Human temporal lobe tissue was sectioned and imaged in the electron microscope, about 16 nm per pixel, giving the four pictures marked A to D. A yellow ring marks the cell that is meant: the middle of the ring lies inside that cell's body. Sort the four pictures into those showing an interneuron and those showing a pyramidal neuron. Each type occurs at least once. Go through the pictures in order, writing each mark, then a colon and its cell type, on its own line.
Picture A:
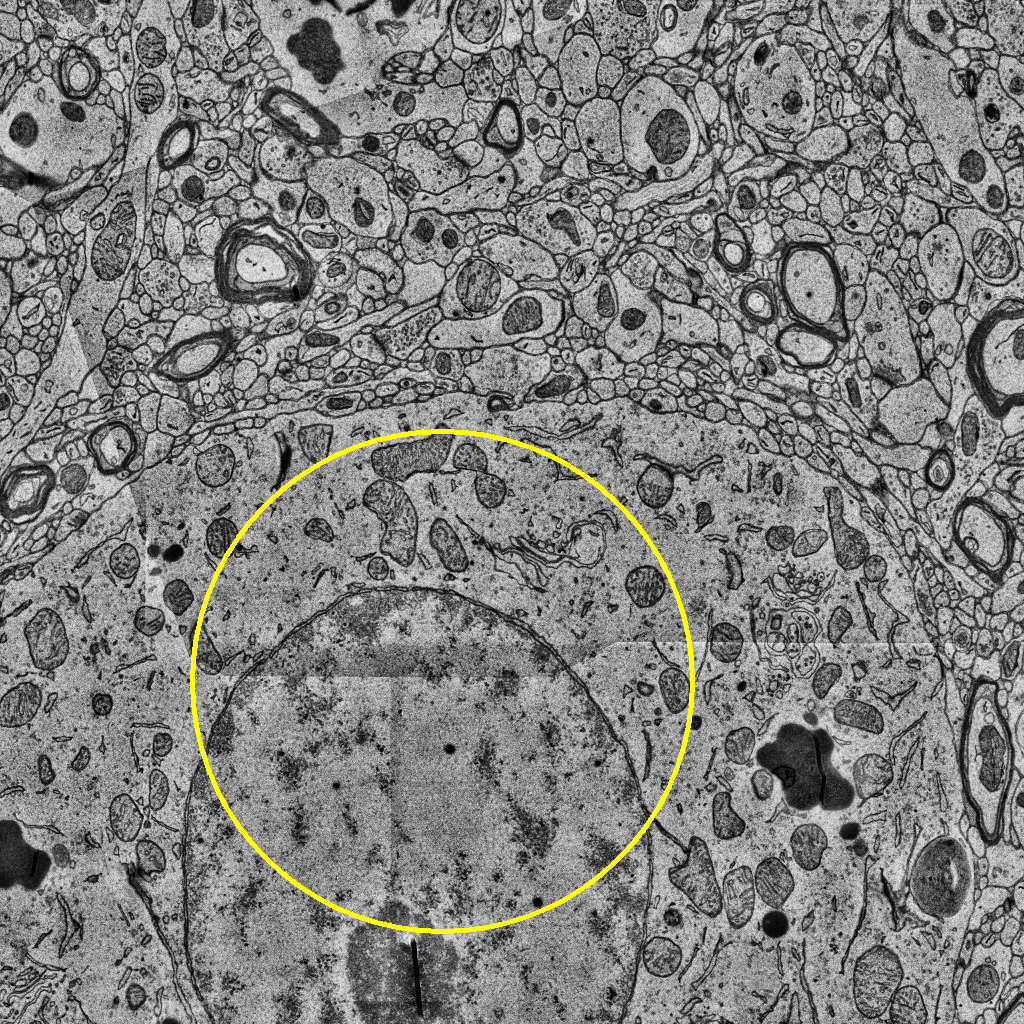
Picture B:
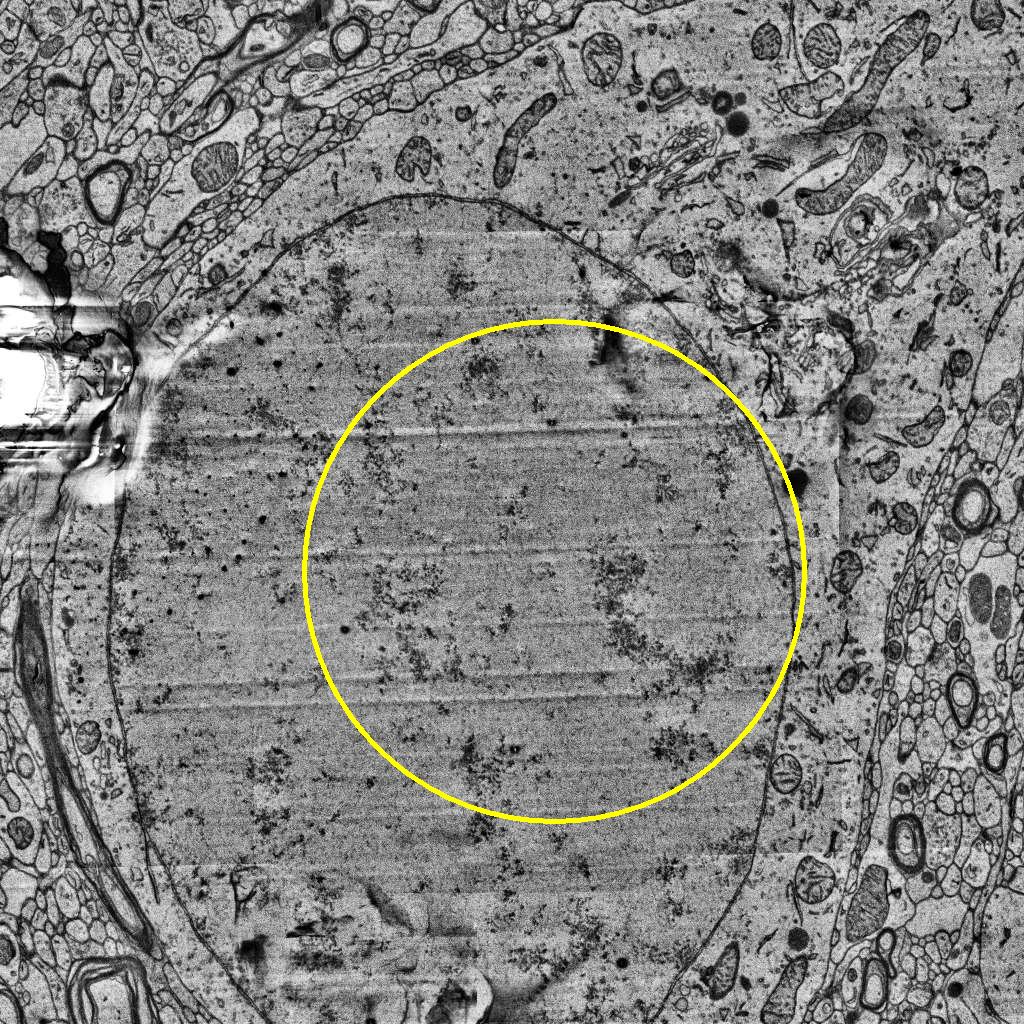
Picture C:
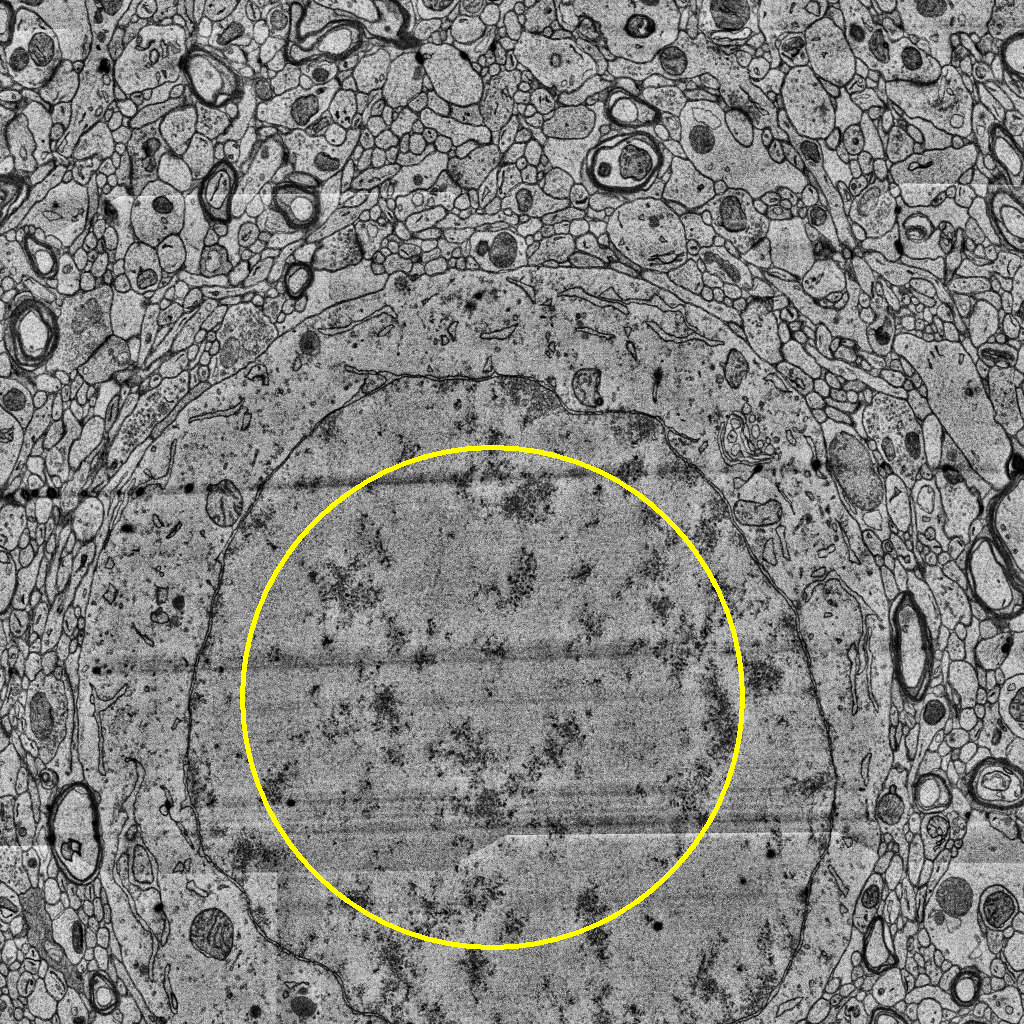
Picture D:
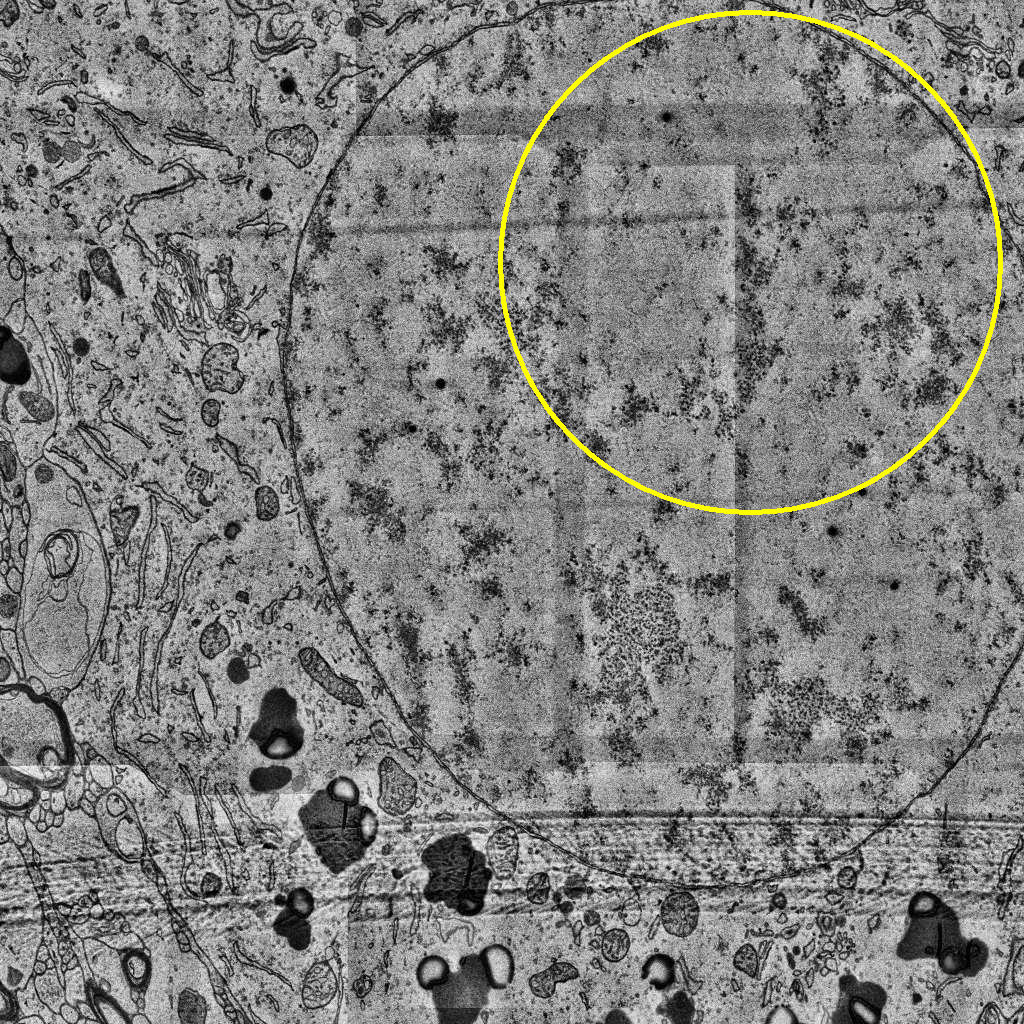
A: interneuron
B: pyramidal neuron
C: pyramidal neuron
D: pyramidal neuron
